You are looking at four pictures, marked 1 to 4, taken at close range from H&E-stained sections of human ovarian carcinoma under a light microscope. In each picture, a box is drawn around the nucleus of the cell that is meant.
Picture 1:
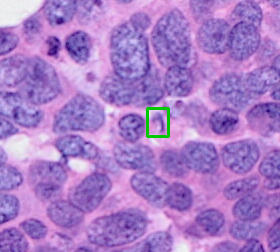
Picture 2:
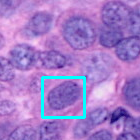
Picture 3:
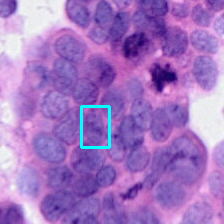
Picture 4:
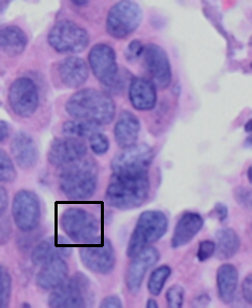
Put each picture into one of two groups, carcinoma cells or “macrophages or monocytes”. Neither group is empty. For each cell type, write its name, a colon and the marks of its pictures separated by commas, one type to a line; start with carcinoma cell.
carcinoma cell: 2, 3, 4
macrophage or monocyte: 1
